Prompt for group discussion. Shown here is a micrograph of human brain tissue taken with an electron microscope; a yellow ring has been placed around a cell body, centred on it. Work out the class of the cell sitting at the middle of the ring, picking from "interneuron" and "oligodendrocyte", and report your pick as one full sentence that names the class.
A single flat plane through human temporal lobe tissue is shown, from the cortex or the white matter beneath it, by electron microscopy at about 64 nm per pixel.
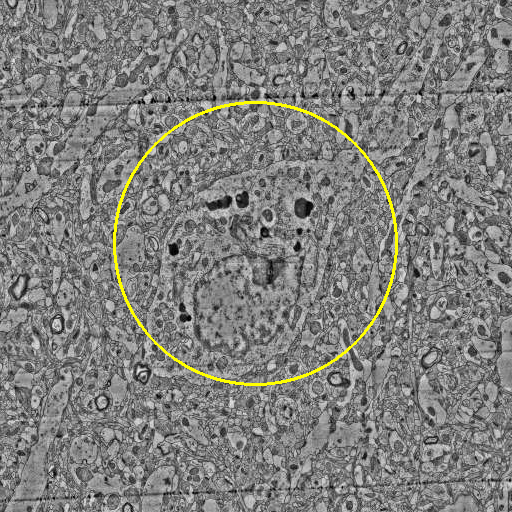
The cell sitting at the middle of the yellow ring is an interneuron.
